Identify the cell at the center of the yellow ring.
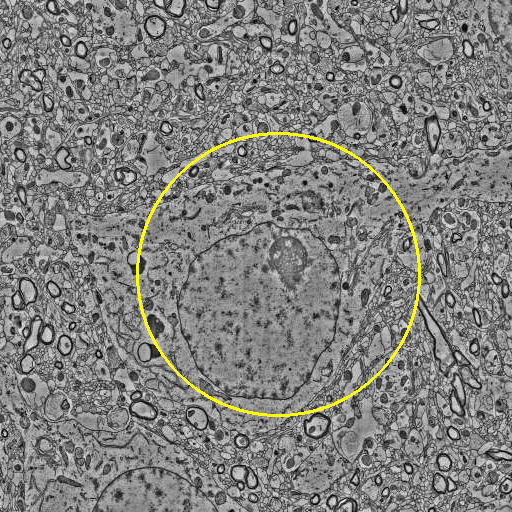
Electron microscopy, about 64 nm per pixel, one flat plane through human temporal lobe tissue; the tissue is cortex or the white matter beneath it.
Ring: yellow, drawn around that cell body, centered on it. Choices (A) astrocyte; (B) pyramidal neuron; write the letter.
B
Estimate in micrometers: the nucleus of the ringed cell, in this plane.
The nucleus comes to roughly 11 micrometres across in this plane.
